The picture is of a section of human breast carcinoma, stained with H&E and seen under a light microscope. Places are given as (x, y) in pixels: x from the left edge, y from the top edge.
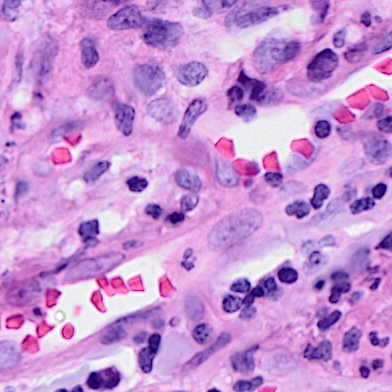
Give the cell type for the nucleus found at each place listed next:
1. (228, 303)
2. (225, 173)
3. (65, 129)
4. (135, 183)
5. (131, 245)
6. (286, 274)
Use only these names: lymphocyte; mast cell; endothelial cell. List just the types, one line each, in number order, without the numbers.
lymphocyte
endothelial cell
endothelial cell
lymphocyte
endothelial cell
lymphocyte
